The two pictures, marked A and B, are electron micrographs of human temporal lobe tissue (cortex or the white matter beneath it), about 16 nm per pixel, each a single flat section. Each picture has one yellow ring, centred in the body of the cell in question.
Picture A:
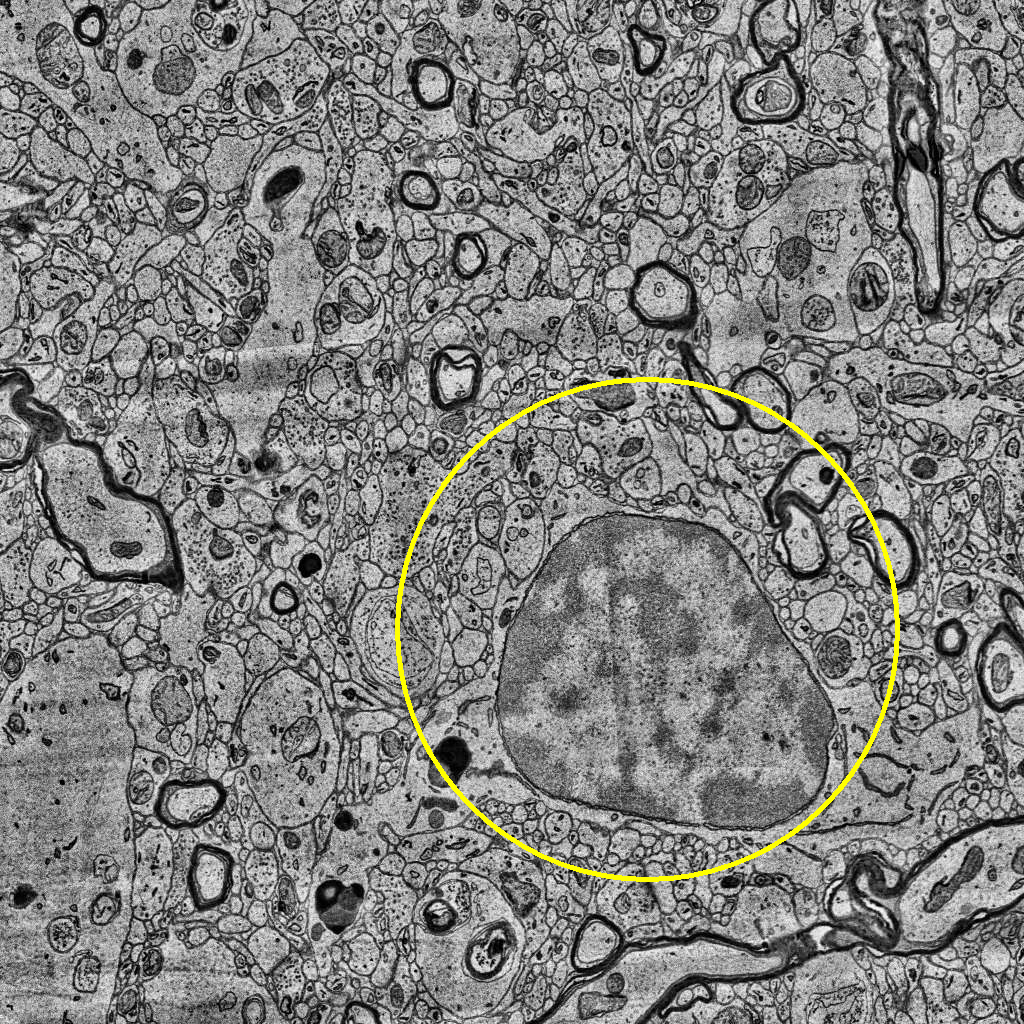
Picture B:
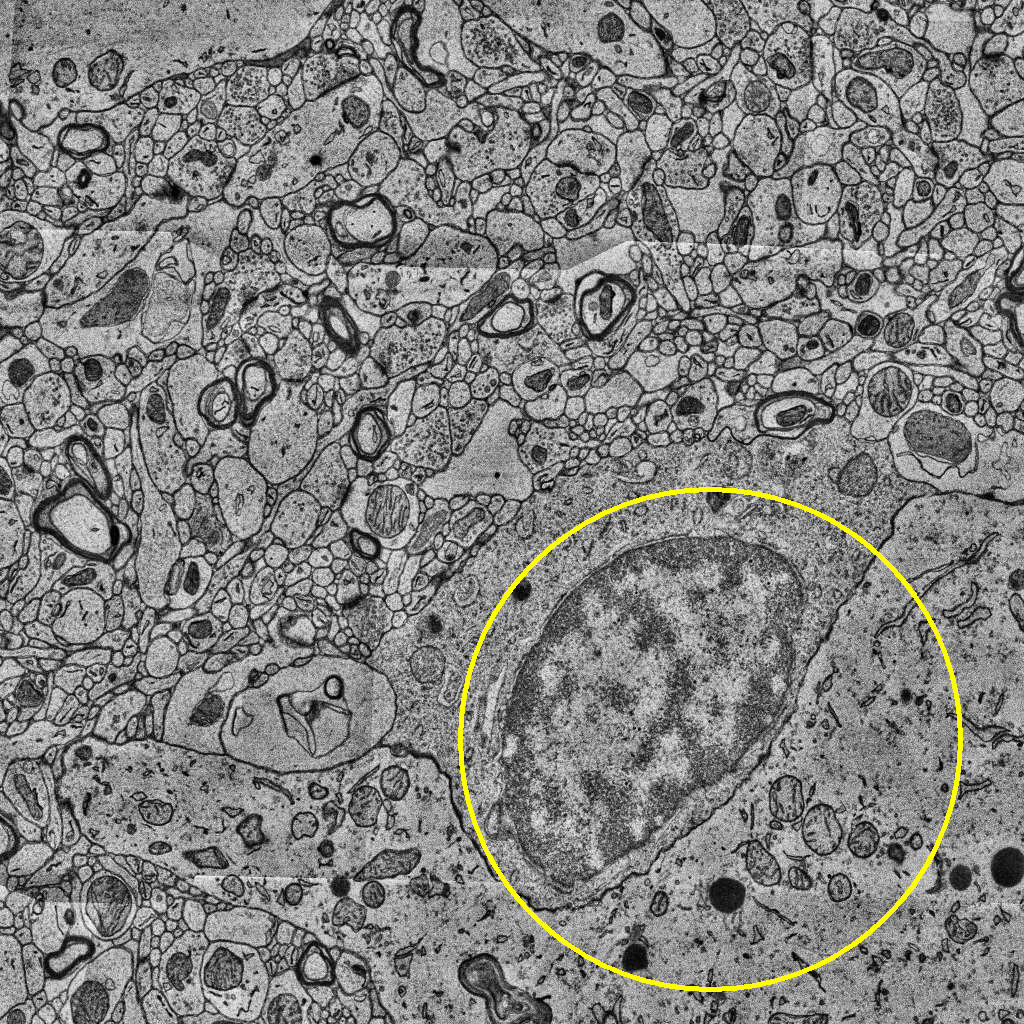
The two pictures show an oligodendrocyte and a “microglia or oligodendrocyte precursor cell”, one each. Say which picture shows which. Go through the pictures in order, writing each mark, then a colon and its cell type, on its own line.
A: microglia or oligodendrocyte precursor cell
B: oligodendrocyte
